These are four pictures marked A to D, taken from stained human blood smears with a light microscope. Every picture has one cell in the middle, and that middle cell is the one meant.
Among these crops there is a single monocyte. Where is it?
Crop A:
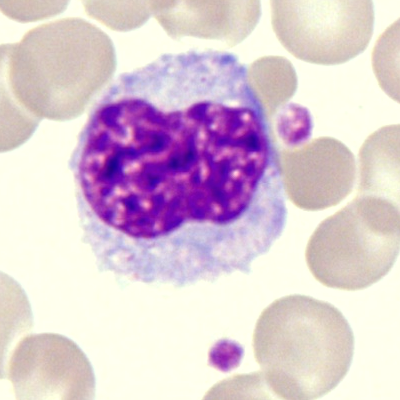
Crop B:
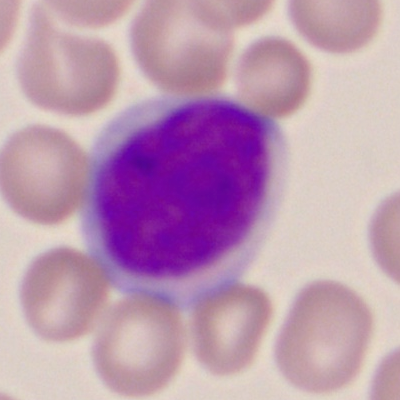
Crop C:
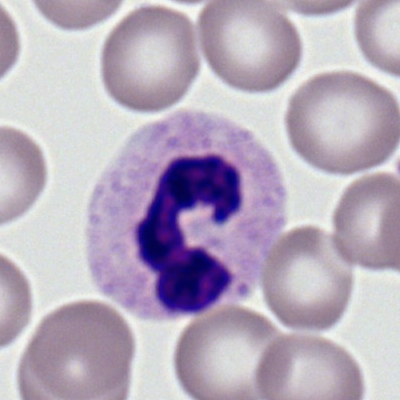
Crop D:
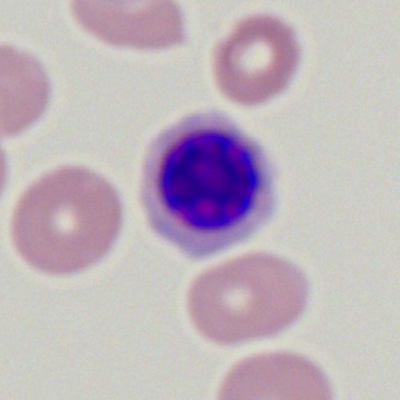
A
